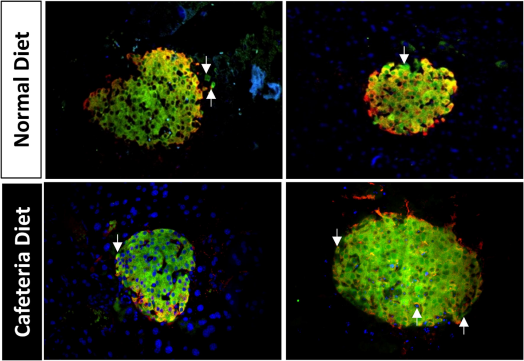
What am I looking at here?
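These are pancreatic islets, each a round, compact cluster of tightly packed cells whose blue nuclei sit in green-filled cytoplasm overlaid by red, giving many cells a yellow-orange tone. The islets stand out sharply from the surrounding tissue, where nuclei are sparser, and the arrows point to single cells near the islet edges.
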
